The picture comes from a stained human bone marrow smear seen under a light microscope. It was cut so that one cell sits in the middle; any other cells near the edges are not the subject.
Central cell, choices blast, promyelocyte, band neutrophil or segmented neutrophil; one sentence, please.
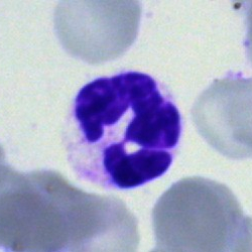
In the middle of this smear crop is a segmented neutrophil.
